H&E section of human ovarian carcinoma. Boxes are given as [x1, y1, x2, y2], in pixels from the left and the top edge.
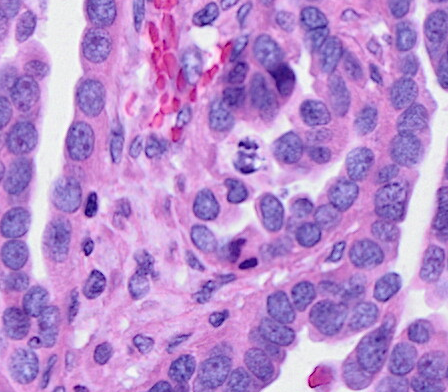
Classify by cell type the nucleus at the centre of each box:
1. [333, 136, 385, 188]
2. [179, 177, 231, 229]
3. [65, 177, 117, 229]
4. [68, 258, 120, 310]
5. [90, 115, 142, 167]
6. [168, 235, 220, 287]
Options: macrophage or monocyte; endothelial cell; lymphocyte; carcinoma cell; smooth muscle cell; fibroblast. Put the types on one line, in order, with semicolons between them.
carcinoma cell; carcinoma cell; lymphocyte; macrophage or monocyte; fibroblast; fibroblast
